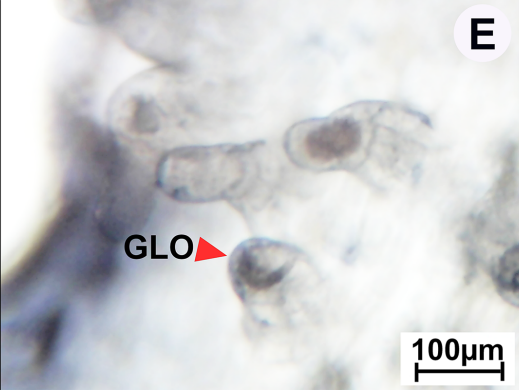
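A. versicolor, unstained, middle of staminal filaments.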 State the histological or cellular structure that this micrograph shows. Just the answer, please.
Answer: Short glandular trichomes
